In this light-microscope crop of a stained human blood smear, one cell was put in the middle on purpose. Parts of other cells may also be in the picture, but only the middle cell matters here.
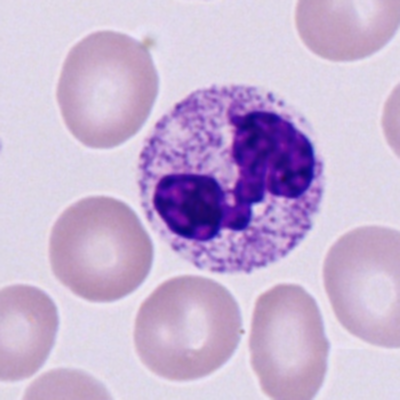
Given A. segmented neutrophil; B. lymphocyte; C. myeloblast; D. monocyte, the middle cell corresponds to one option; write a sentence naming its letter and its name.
The correct identification, given in option A, is that the central cell is a segmented neutrophil.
